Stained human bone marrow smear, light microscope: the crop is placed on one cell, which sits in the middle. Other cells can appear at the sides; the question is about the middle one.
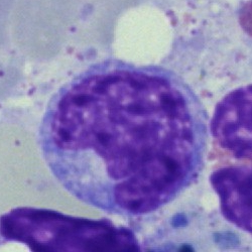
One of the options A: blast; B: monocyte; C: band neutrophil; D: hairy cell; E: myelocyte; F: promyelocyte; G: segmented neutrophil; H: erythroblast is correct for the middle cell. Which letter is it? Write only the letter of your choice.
B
